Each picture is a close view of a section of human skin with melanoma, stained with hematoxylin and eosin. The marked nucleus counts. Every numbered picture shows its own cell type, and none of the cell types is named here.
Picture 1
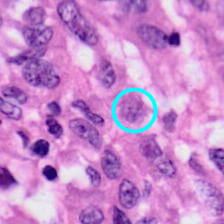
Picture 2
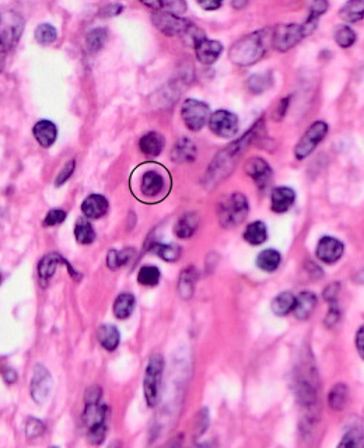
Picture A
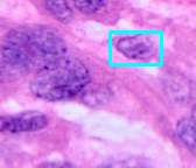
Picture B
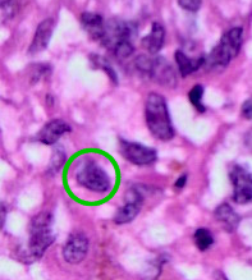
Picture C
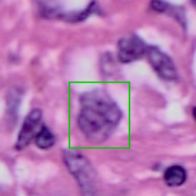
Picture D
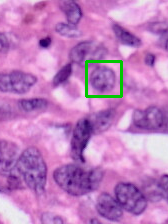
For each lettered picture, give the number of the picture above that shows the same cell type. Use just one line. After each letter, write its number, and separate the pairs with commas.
A 1, B 1, C 1, D 1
